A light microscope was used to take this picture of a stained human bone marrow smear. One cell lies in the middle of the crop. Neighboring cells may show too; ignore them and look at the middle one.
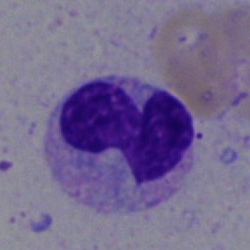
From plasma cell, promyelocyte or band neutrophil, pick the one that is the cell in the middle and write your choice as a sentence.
The middle of this crop holds a band neutrophil.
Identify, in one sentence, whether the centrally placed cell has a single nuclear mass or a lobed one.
Two or more lobes make up the nucleus of this cell.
